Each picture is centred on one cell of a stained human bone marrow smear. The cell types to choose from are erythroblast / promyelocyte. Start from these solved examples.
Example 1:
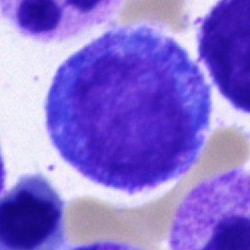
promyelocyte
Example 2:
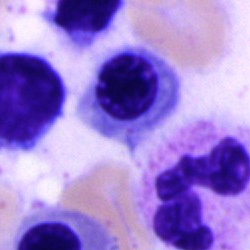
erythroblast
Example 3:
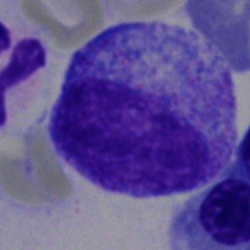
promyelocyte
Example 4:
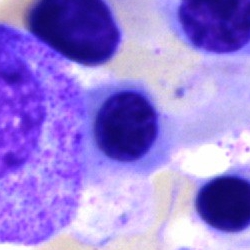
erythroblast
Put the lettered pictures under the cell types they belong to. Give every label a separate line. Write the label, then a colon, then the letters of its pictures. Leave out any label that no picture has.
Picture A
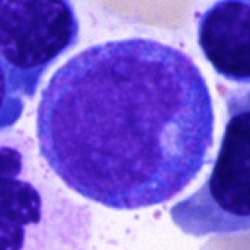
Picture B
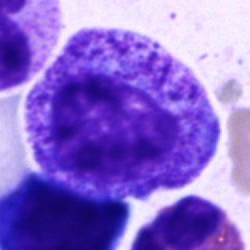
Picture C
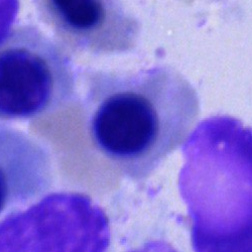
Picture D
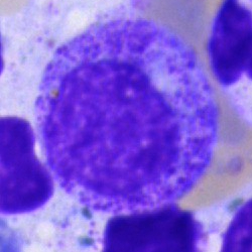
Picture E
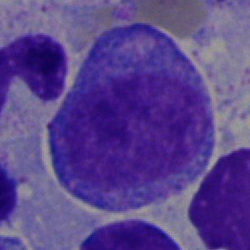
erythroblast: C
promyelocyte: A, B, D, E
